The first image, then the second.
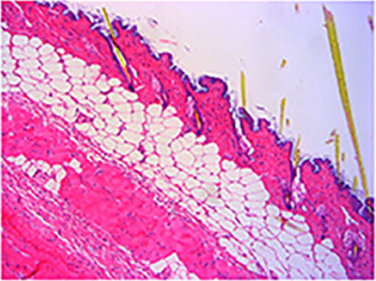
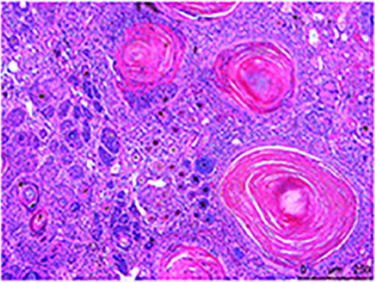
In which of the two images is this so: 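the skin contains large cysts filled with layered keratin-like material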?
The second image.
